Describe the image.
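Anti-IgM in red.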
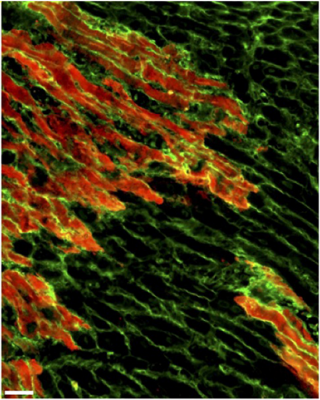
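Heart muscle is seen at high magnification, with cardiac myocytes cut lengthwise as long fibres running in parallel. Thin green lines trace the borders of each myocyte and the spaces between them. A broad band of myocytes in the upper part of the field is filled with red, while neighbouring myocytes below show only their green outlines with dark interiors. A few further red-filled fibres appear at the lower right.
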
